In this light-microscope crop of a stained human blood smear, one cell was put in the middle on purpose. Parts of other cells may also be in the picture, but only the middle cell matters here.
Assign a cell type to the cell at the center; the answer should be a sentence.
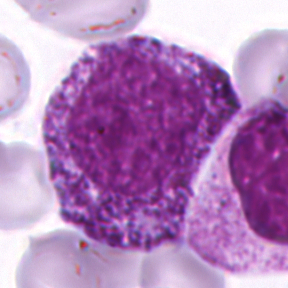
To answer, the cell in the center of the crop is a promyelocyte.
